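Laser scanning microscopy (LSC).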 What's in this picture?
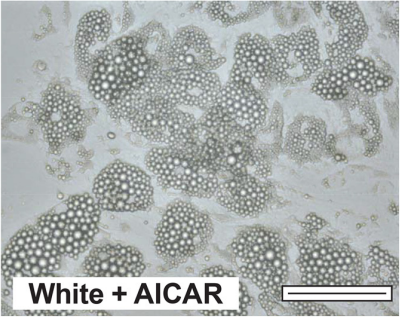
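These are cultured adipocytes seen unstained, each filled with a cluster of round, refractile lipid droplets. The droplets are mostly small and fairly even in size, few being conspicuously large. Each cell forms a rounded or irregular clump of droplets, and the clumps lie side by side across the field.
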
